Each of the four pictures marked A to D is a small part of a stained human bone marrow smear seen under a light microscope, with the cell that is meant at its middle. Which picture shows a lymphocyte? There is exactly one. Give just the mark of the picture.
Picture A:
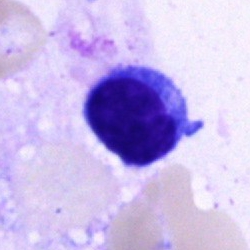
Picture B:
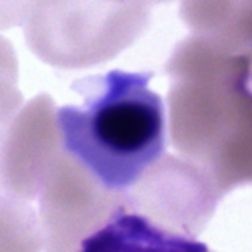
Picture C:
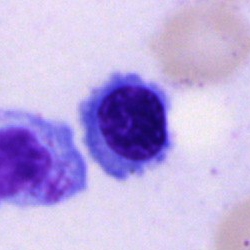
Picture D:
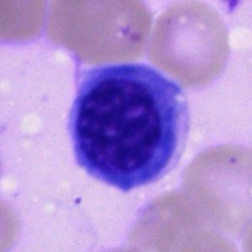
A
